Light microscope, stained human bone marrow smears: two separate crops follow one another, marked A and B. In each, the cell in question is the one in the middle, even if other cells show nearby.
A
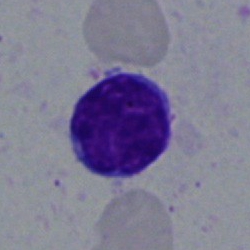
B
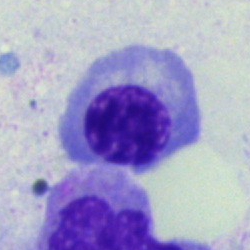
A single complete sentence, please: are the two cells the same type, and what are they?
No, mark crop A as a lymphocyte and crop B as a normoblast.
